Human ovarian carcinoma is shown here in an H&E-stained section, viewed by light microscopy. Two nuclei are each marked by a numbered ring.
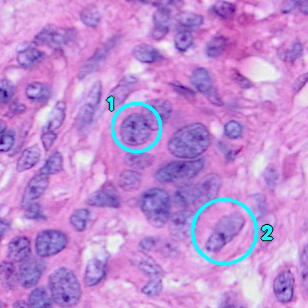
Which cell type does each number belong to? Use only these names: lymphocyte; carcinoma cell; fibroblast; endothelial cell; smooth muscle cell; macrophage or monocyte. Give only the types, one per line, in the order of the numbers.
carcinoma cell
fibroblast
